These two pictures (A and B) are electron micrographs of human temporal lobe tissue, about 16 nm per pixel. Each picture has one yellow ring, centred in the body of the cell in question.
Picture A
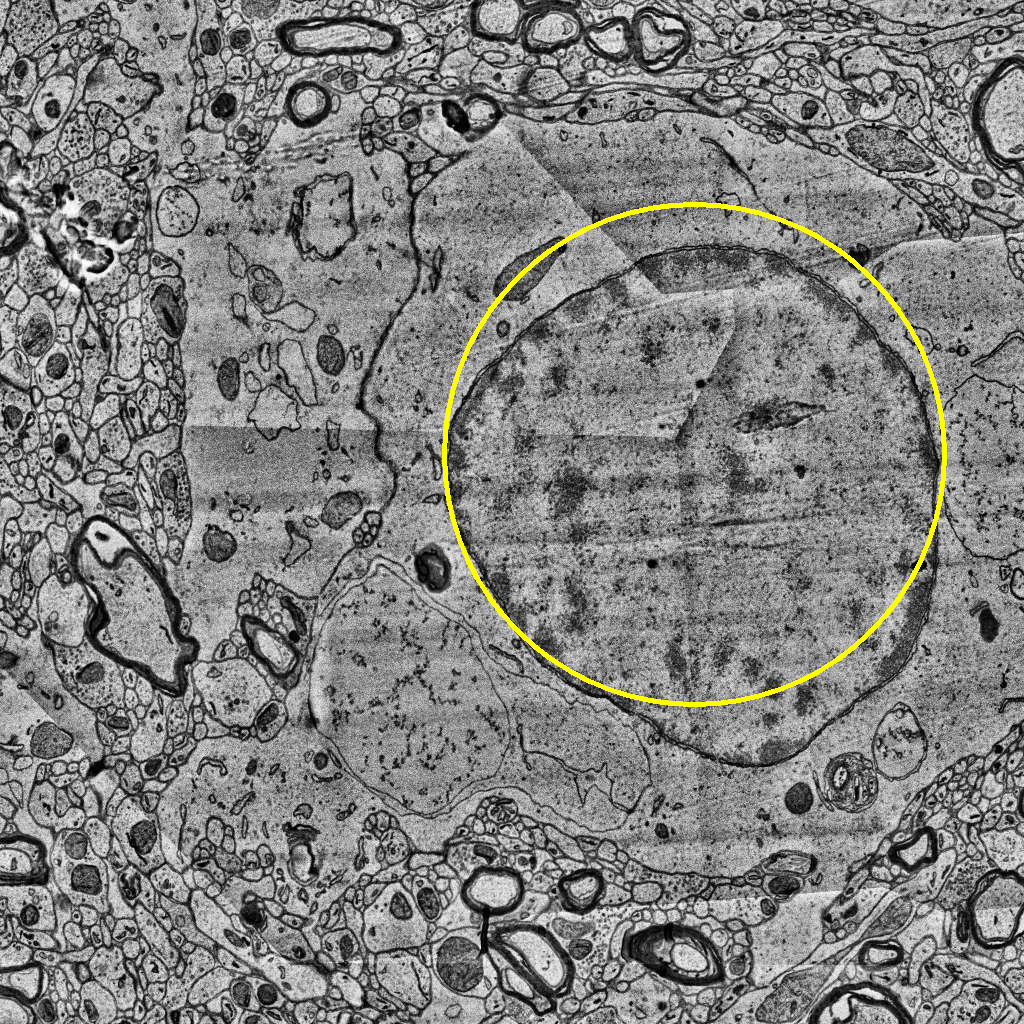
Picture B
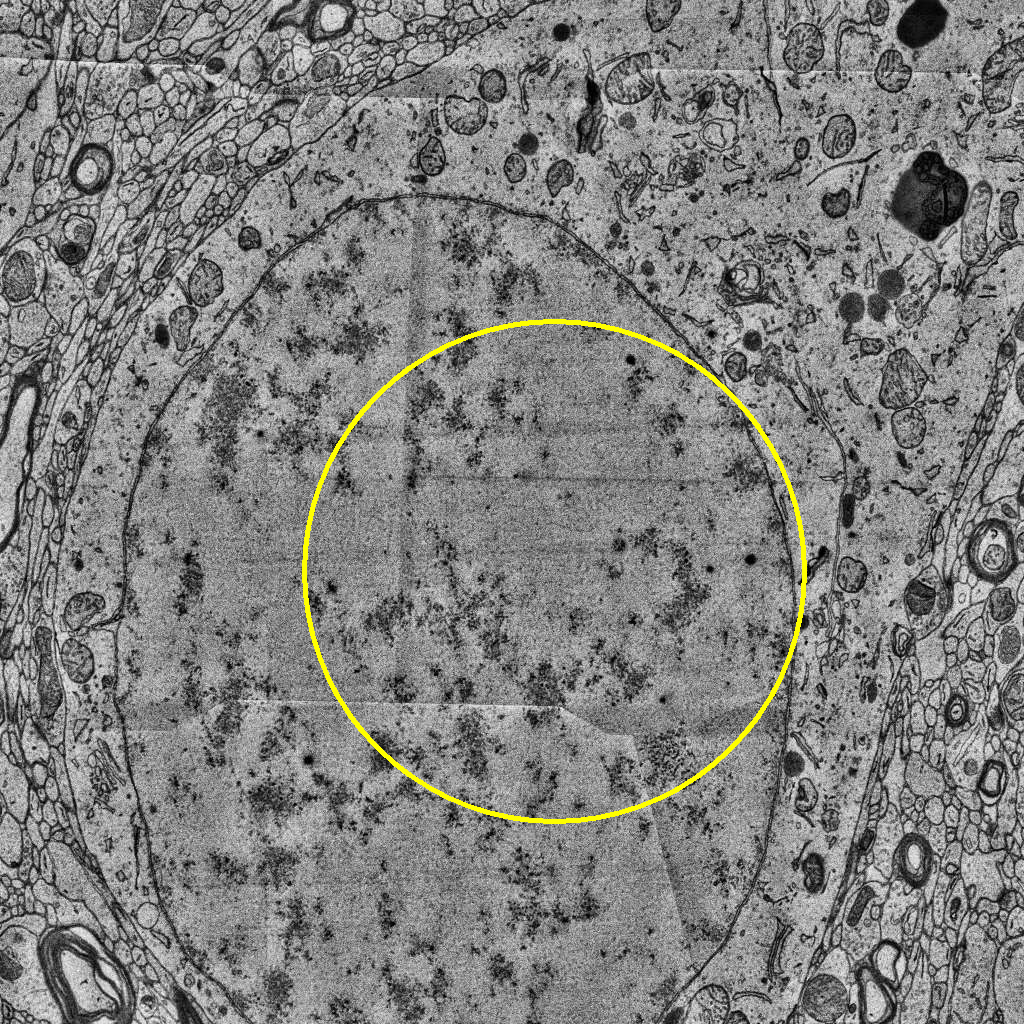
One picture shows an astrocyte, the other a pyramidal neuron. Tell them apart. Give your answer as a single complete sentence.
The cell in picture A is an astrocyte, and the one in picture B is a pyramidal neuron.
